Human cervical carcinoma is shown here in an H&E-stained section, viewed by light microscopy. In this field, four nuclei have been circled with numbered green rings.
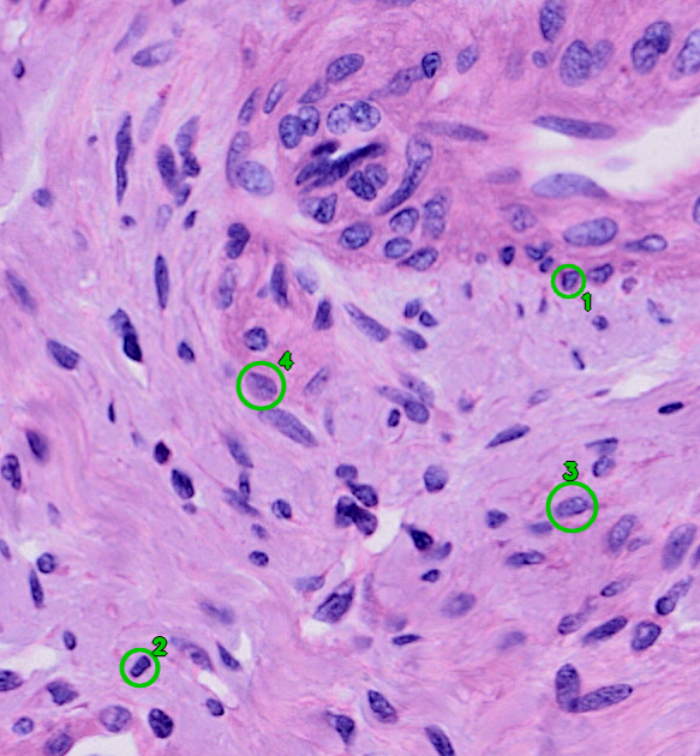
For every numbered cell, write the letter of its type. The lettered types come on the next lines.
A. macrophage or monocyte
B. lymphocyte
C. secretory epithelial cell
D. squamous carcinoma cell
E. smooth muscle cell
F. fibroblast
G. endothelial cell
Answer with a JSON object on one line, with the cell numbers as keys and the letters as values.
{"1": "E", "2": "F", "3": "E", "4": "E"}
